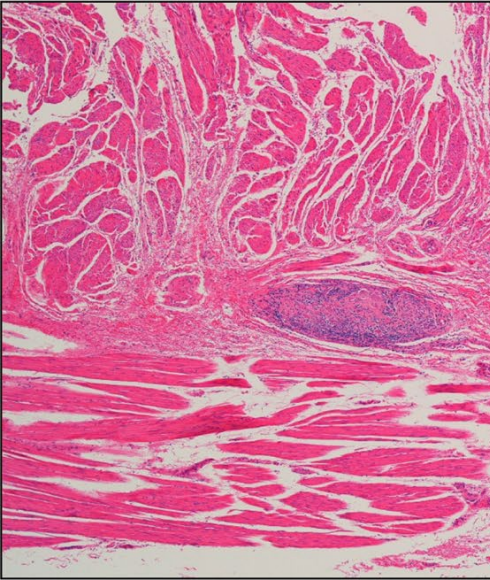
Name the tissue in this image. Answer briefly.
Inner circular and outer longitudinal muscle layers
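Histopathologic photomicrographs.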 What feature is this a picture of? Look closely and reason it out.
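An oval, densely purple cellular nodule lies in connective tissue. The nodule sits between two layers of smooth muscle bundles running in different directions.
Answer: Auerbach’s plexus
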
